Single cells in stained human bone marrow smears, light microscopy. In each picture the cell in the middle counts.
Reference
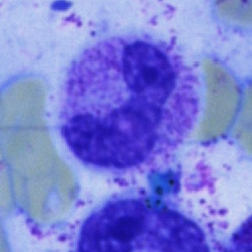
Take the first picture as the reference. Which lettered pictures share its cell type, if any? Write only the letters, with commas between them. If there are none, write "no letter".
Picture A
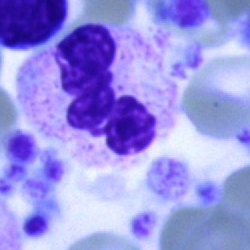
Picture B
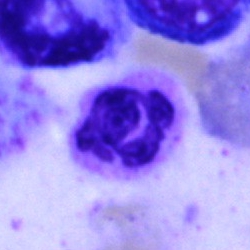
no letter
